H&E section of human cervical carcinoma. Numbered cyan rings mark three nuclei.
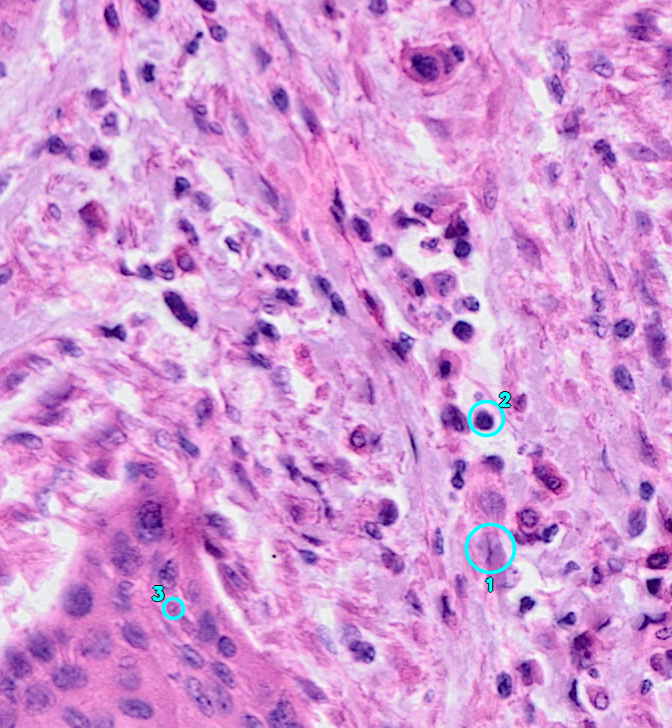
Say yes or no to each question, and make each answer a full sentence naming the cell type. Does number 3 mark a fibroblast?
No, it is a squamous carcinoma cell, rather than a fibroblast, that carries number 3.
